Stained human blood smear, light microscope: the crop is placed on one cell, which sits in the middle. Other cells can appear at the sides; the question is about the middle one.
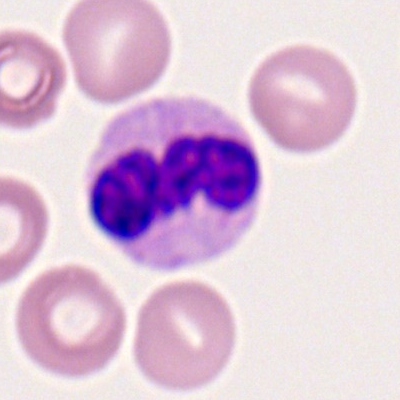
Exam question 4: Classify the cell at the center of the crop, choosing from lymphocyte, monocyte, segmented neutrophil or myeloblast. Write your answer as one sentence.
Centred in the crop is a segmented neutrophil.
